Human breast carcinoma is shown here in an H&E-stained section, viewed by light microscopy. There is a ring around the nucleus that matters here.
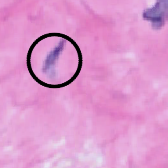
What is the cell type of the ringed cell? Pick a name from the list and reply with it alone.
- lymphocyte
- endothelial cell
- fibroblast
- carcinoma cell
fibroblast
